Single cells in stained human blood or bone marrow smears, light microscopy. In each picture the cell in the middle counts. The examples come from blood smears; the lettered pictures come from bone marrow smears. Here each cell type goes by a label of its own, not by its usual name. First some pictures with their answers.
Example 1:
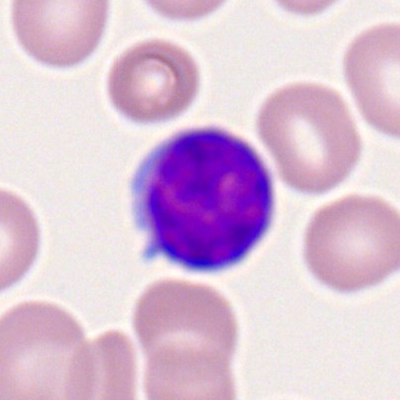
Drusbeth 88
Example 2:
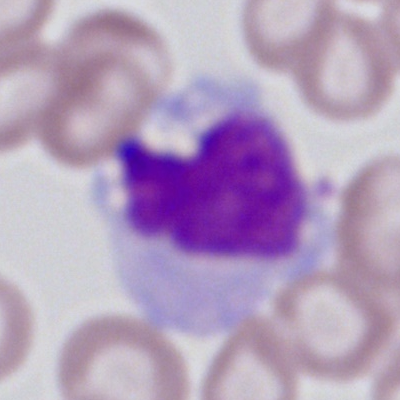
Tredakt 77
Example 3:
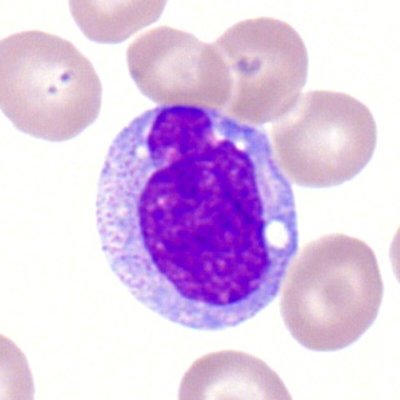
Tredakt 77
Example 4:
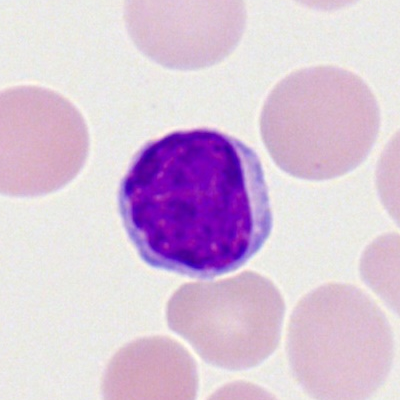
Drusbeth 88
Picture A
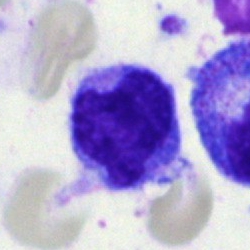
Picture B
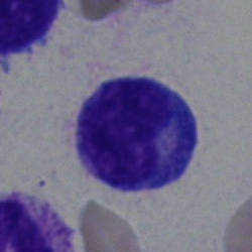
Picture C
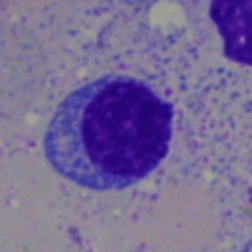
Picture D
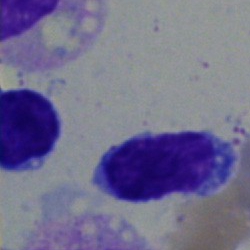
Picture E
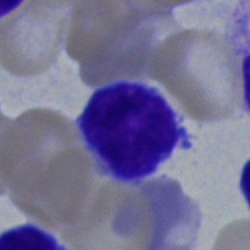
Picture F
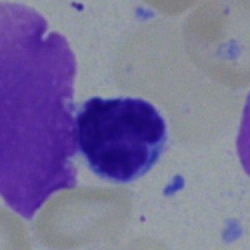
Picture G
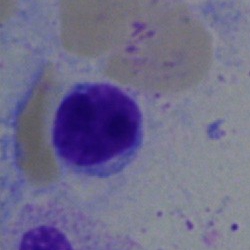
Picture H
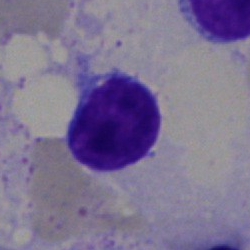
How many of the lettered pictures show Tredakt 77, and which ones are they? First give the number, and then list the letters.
1: A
